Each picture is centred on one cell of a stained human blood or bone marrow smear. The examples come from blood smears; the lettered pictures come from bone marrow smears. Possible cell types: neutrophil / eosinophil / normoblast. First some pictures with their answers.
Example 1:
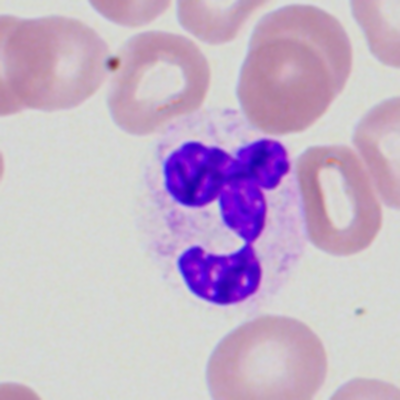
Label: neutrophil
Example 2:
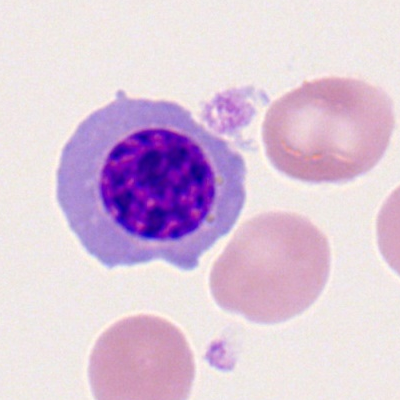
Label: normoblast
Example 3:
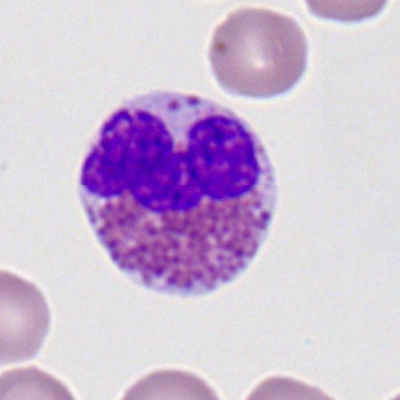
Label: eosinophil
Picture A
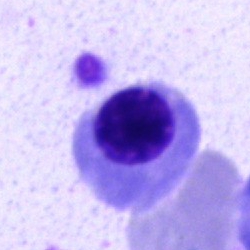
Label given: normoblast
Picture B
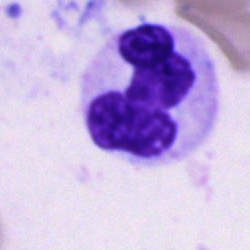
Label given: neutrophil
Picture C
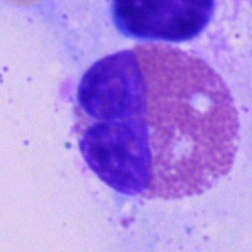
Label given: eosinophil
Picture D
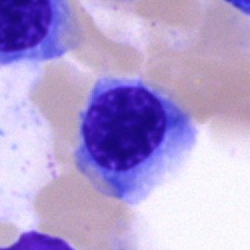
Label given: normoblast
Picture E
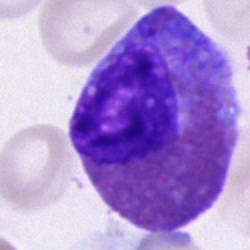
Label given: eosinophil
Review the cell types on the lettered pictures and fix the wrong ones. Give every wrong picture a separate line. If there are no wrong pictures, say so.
Nothing to fix; every label fits.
